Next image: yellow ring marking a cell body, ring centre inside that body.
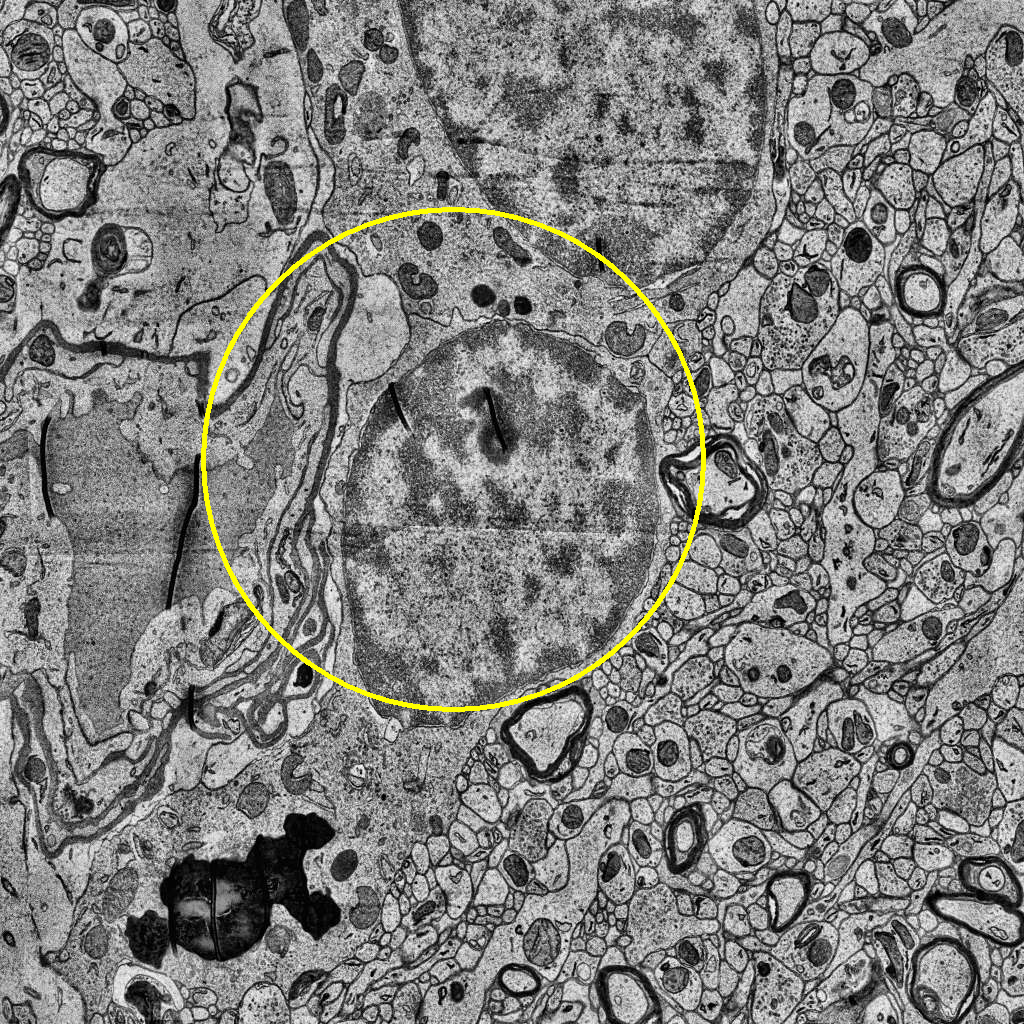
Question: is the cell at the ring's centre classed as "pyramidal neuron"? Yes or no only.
no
